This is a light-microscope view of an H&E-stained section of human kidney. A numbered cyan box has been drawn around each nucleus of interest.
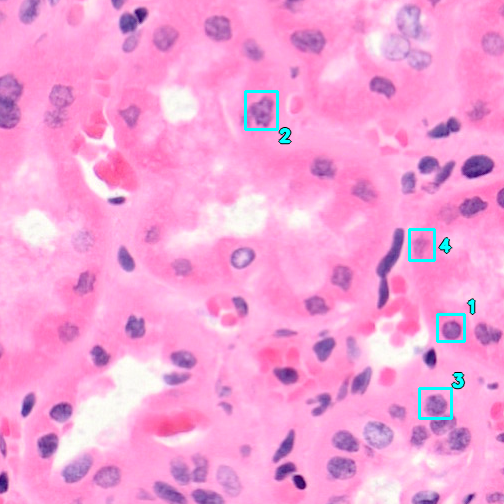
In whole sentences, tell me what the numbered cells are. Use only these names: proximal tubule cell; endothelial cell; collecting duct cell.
Cell 1 is a proximal tubule cell, cell 2 is a proximal tubule cell, cell 3 is a collecting duct cell and cell 4 is a proximal tubule cell.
